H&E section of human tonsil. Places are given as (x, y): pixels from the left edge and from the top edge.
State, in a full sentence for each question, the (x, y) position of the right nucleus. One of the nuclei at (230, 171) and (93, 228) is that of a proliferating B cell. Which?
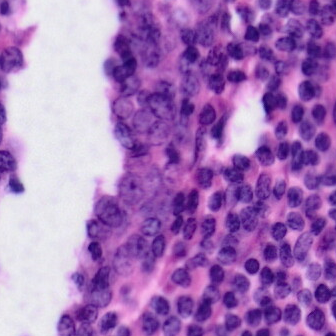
The nucleus that sits at (93, 228) is the nucleus of a proliferating B cell.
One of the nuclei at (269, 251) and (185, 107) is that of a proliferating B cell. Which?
It is the nucleus at (185, 107), not the other one, that belongs to a proliferating B cell.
